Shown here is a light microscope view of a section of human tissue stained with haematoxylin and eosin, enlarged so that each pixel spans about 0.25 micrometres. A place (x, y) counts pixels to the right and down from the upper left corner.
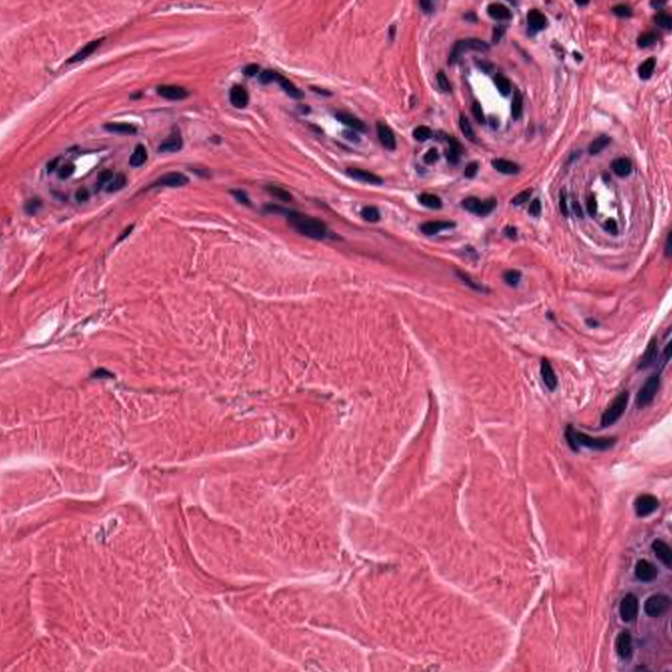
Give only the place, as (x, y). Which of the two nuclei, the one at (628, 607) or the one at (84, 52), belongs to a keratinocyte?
(628, 607)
